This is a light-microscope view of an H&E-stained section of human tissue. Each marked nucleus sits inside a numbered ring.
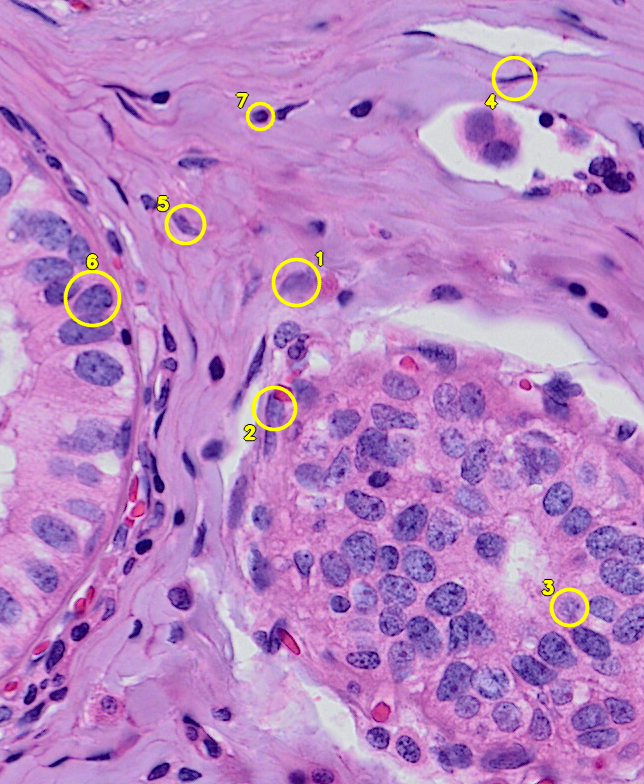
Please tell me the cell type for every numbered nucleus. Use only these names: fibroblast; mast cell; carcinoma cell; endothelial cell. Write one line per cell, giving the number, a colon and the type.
1: fibroblast
2: endothelial cell
3: carcinoma cell
4: fibroblast
5: fibroblast
6: carcinoma cell
7: mast cell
